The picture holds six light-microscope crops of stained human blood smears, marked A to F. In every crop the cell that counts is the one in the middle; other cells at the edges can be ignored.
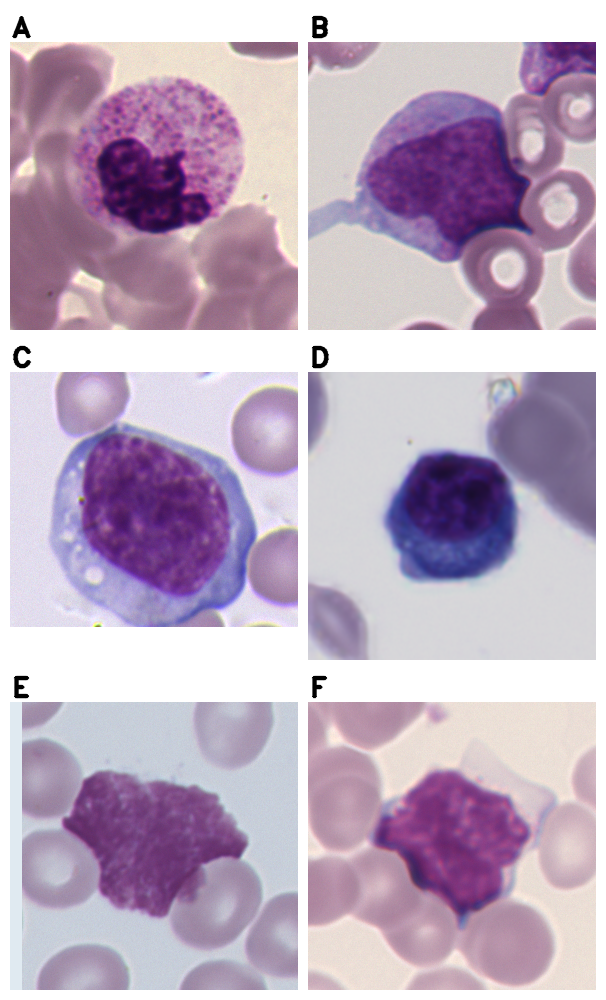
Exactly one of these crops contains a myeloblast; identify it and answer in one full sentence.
The crop bearing a myeloblast is crop C.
